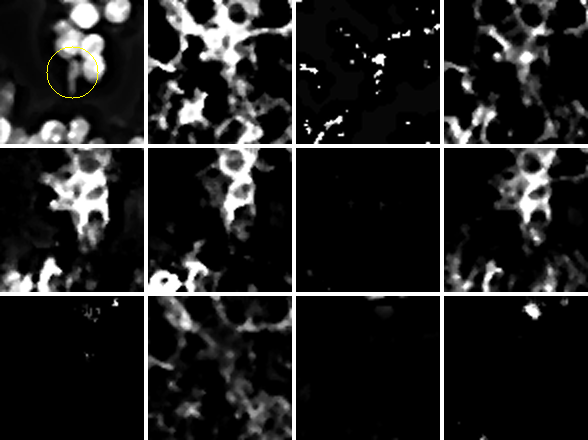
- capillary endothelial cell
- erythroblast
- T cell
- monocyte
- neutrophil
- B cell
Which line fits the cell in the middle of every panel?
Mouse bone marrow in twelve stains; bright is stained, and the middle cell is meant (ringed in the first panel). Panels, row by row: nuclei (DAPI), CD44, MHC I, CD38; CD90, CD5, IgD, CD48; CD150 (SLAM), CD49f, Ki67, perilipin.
capillary endothelial cell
